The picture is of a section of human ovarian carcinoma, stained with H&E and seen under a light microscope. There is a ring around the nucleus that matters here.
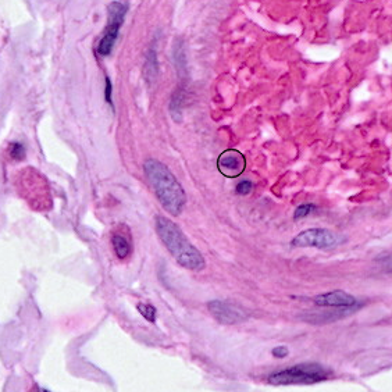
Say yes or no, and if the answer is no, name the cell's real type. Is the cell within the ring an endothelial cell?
Yes.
